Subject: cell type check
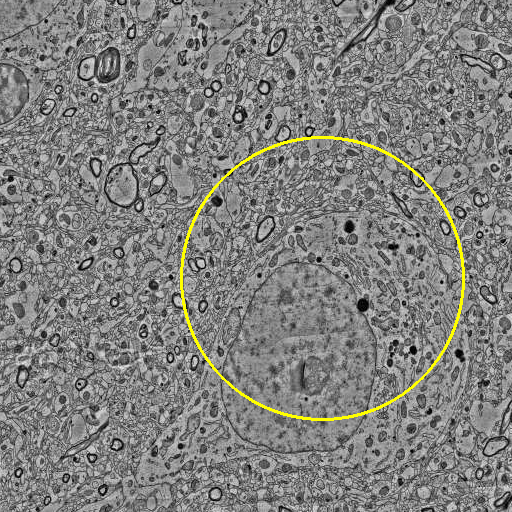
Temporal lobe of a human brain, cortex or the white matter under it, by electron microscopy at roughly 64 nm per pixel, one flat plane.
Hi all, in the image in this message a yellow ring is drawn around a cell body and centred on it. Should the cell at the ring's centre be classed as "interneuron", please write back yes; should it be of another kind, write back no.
yes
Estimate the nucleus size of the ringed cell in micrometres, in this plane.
Roughly 13 by 10 micrometres in this plane, for the nucleus of the ringed cell.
